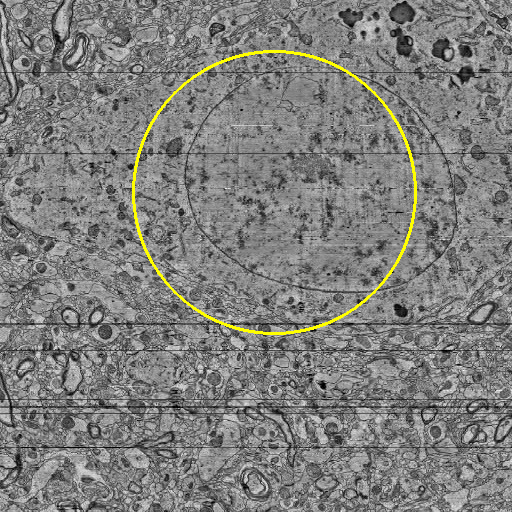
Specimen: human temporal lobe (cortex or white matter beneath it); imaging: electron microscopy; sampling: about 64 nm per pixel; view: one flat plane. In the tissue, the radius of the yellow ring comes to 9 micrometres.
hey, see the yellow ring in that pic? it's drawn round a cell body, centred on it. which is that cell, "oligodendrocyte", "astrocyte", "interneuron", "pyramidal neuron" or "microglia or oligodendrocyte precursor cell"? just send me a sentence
The cell in the ring is a pyramidal neuron.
